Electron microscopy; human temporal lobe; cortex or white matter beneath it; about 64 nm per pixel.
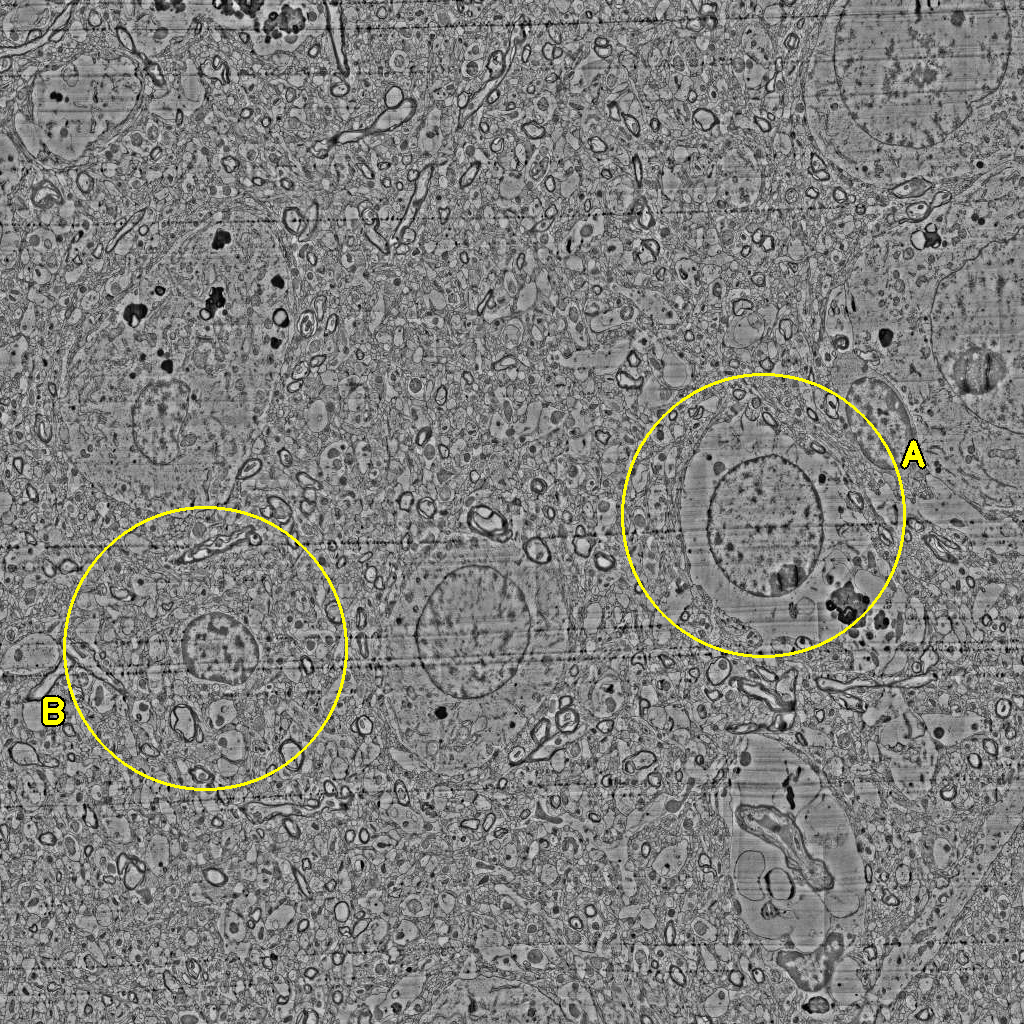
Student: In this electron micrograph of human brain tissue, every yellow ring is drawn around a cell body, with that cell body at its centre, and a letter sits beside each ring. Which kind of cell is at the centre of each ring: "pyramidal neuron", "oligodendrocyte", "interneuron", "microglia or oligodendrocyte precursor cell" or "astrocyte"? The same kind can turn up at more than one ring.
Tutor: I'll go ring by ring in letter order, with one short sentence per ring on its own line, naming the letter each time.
Ring A: the cell at its centre is an astrocyte.
Ring B: the cell at its centre is a microglial cell or oligodendrocyte precursor cell.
